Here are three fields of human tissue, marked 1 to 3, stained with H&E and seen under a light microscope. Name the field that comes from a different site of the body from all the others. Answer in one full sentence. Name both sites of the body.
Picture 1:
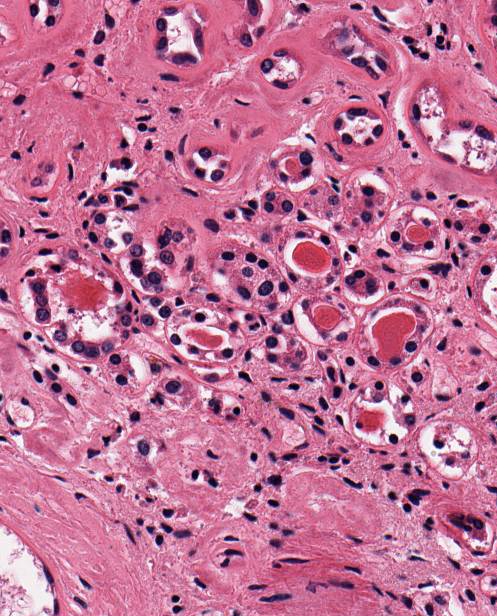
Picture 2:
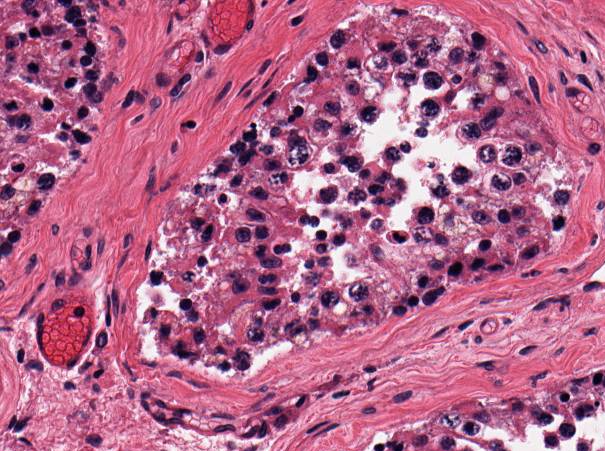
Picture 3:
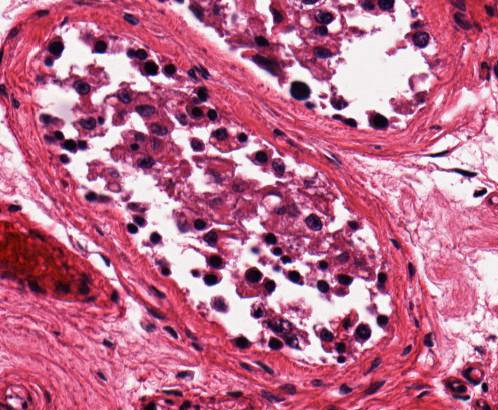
All pictures except 1 come from the testis; picture 1 comes from the renal cortex.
